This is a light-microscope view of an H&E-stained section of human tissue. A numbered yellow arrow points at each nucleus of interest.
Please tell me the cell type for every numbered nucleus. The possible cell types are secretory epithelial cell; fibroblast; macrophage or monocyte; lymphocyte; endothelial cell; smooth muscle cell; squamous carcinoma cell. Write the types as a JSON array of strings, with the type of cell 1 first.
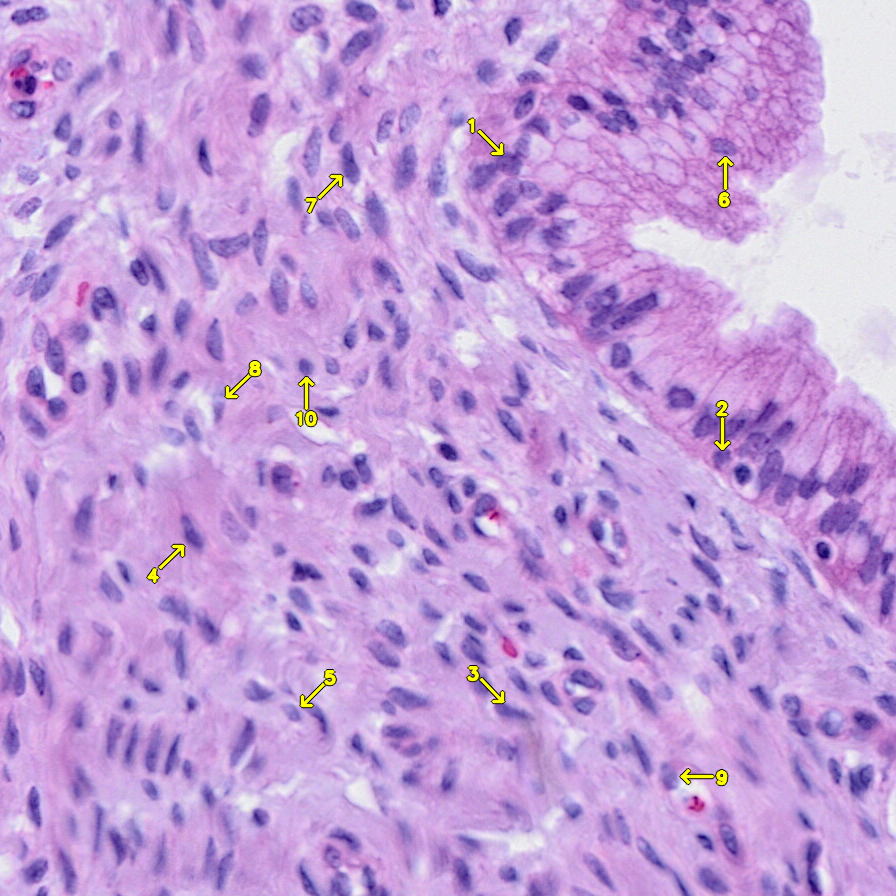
["secretory epithelial cell", "secretory epithelial cell", "fibroblast", "fibroblast", "fibroblast", "secretory epithelial cell", "fibroblast", "fibroblast", "endothelial cell", "fibroblast"]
